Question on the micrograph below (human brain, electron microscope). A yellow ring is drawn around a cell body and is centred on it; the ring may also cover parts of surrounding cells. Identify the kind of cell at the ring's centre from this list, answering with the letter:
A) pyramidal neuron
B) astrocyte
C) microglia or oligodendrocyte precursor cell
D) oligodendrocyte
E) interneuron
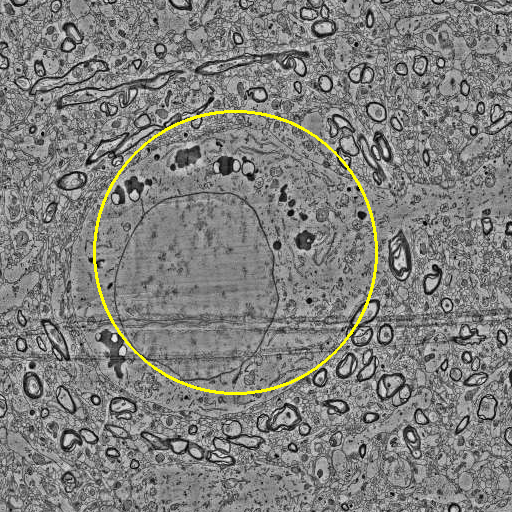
A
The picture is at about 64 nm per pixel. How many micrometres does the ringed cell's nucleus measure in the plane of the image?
In this plane the nucleus is about 12 micrometres by 11.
